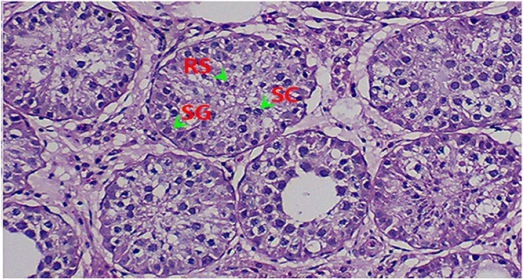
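This is testis tissue with closely packed, round cross-sections of seminiferous tubules, each lined by a thick, multilayered epithelium of spermatogenic cells. The nuclei stain dark purple and the cytoplasm stains pale pink to lilac. Thin strips of interstitial connective tissue with scattered cells separate the tubules.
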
